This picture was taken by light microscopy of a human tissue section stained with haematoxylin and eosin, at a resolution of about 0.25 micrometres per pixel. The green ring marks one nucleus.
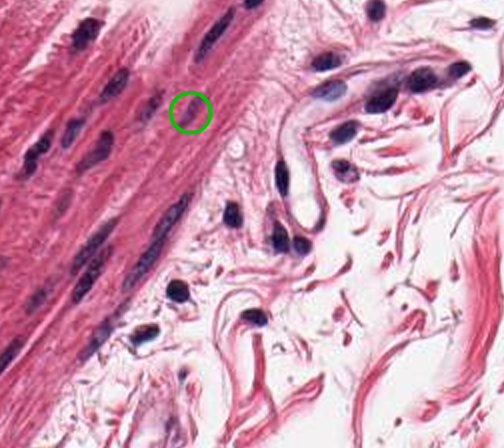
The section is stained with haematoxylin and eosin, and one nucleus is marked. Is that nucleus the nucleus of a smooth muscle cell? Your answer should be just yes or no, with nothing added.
yes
